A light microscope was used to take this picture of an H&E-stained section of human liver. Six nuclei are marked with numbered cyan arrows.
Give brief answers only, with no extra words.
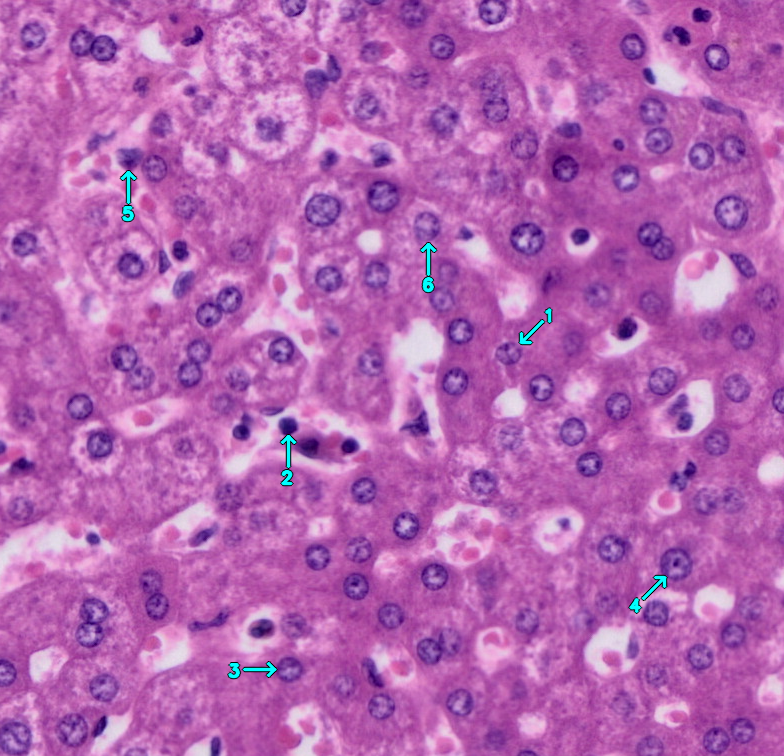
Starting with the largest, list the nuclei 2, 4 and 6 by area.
4, 6, 2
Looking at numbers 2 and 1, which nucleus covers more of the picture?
1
